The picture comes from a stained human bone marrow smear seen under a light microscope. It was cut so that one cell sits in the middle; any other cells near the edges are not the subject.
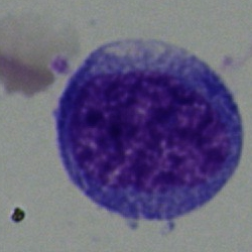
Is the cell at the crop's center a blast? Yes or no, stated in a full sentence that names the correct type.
Yes, the middle of the crop is occupied by a blast.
